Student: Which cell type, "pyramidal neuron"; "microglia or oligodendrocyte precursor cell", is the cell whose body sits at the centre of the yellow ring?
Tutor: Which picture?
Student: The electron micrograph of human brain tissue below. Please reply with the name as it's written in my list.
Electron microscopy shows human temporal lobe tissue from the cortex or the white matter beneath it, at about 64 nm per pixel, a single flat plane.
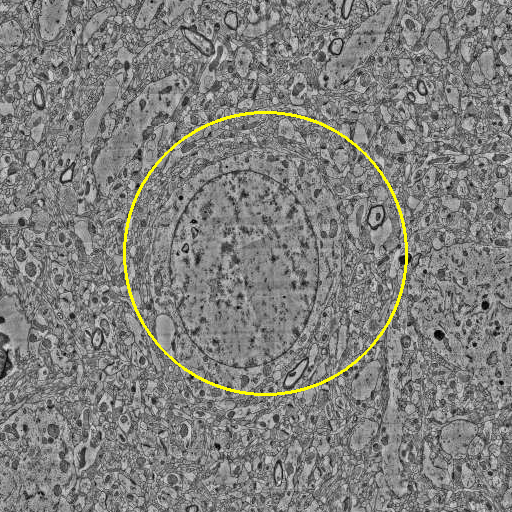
pyramidal neuron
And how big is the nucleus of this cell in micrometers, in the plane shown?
In this plane, approximately 13 by 9 micrometers.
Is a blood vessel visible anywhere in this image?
No, there is no blood vessel.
